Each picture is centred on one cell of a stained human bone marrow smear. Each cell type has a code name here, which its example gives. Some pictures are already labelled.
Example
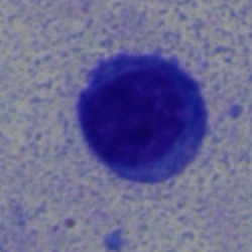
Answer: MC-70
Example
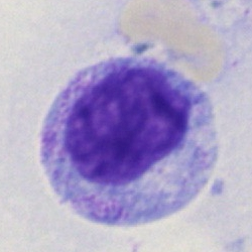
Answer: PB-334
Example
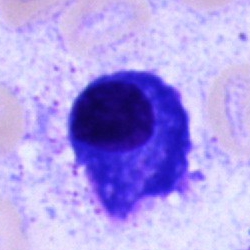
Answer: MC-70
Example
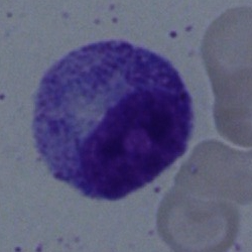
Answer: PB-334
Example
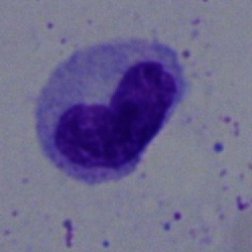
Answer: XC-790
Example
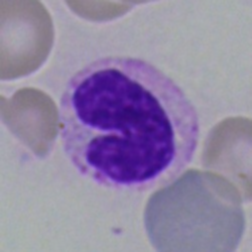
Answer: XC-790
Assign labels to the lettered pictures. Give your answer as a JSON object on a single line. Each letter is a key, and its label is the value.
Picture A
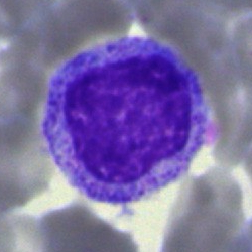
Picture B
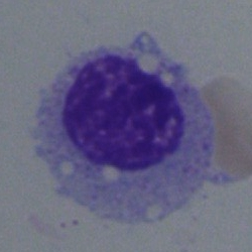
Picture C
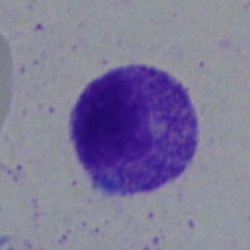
{"A": "PB-334", "B": "PB-334", "C": "PB-334"}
